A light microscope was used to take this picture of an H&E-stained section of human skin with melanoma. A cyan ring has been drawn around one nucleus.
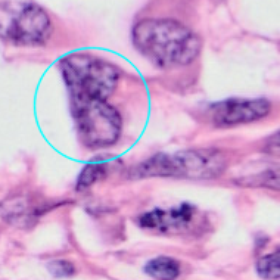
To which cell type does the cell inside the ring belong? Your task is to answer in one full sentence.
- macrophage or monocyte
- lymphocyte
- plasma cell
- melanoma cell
In this section of tissue, the cell inside the ring is a melanoma cell.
